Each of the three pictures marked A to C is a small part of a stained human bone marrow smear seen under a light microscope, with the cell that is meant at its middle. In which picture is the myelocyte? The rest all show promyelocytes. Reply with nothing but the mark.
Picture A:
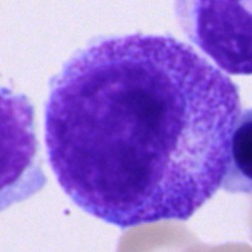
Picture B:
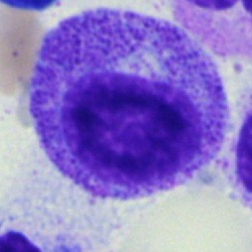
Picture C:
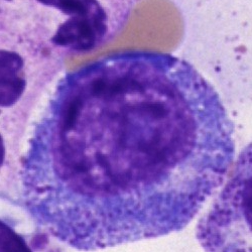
B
